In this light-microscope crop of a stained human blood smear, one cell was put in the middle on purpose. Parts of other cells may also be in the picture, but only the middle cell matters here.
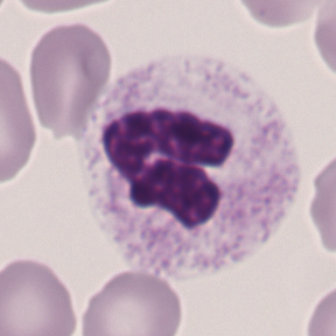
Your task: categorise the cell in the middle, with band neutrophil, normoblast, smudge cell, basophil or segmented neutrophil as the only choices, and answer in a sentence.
The centrally located cell in the crop is a segmented neutrophil.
